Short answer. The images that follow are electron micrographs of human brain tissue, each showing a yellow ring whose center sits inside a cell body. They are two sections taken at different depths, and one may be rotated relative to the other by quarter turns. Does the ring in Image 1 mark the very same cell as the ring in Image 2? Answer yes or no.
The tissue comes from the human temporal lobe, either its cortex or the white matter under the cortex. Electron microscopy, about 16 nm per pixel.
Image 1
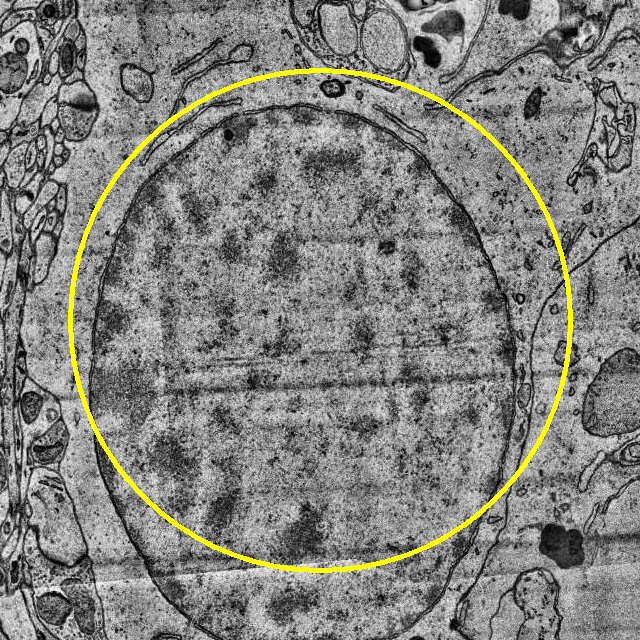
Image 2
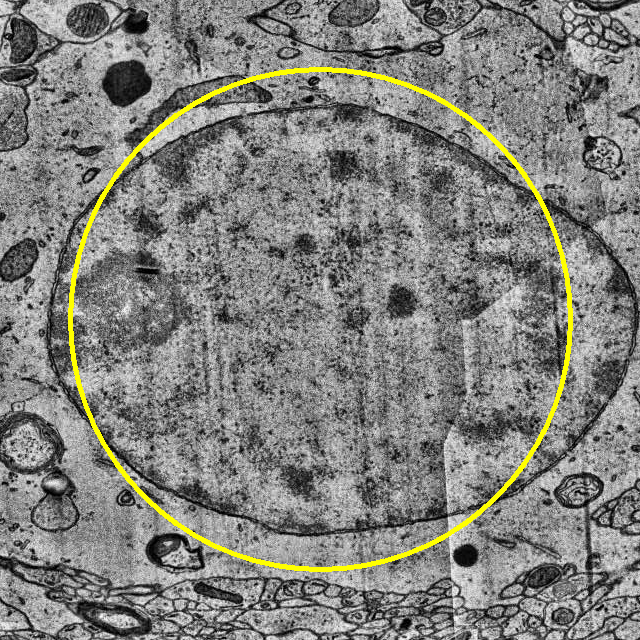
yes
